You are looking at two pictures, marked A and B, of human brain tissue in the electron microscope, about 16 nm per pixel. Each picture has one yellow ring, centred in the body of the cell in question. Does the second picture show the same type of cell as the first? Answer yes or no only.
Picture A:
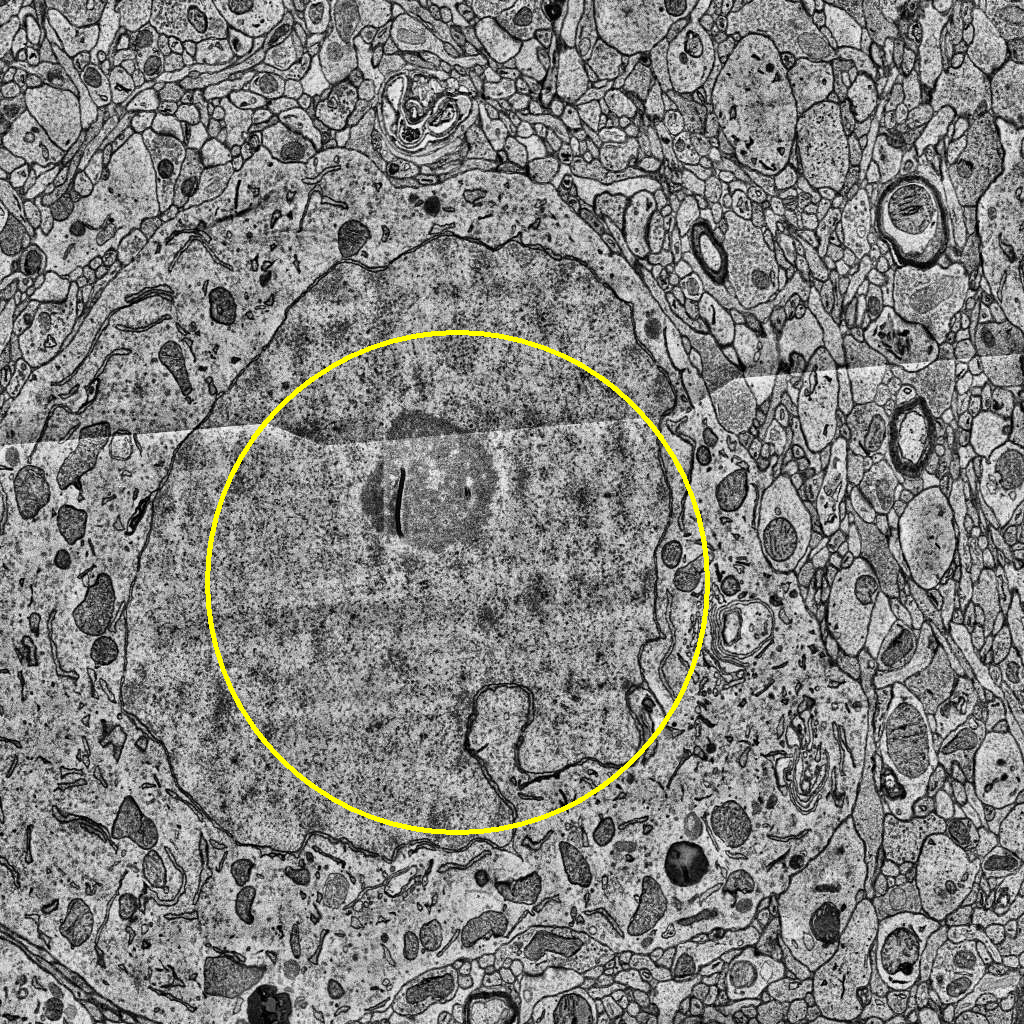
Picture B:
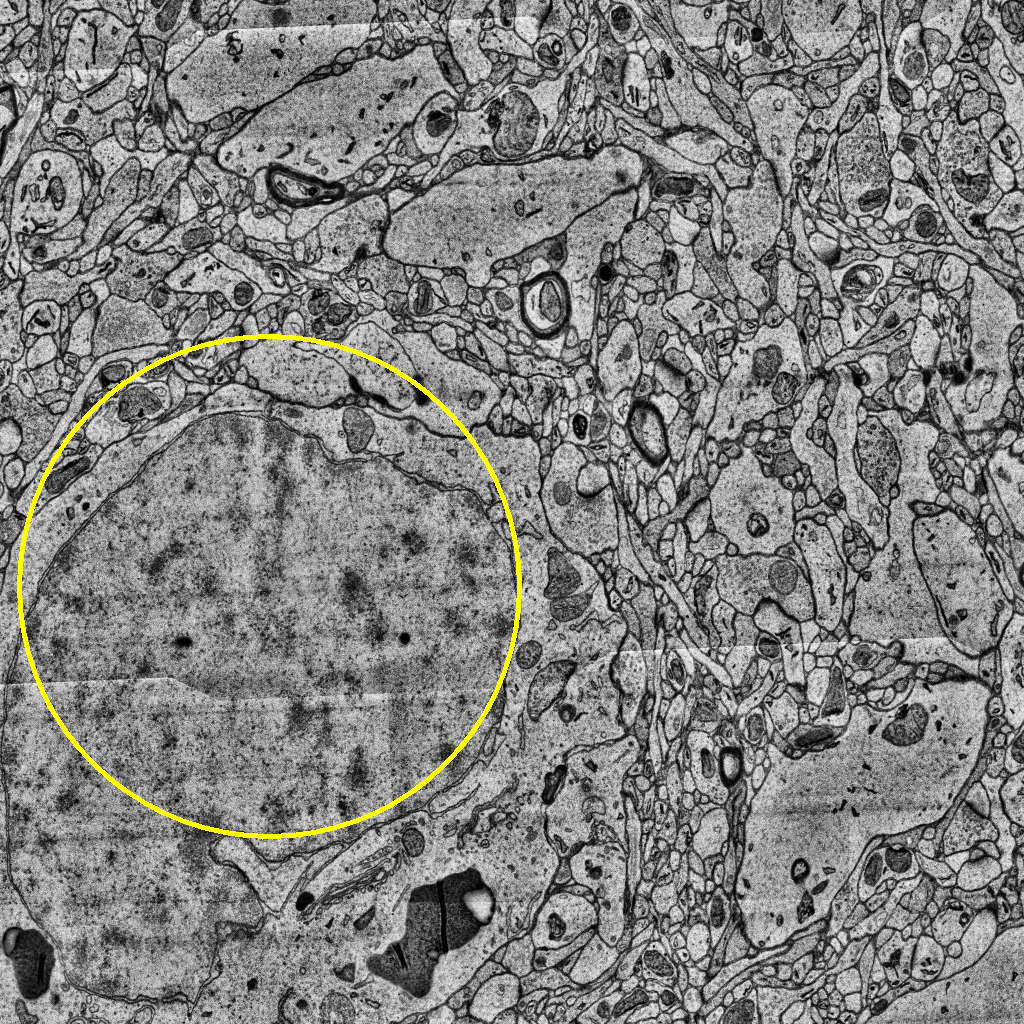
yes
